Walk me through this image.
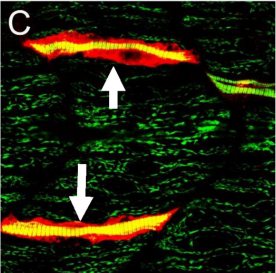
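Skeletal muscle in which two elongated myofibers are filled with red, with a yellow, finely striated band running through their centres. A dark oval gap within one red fibre may mark its nucleus. The surrounding muscle shows only faint, disordered green threads without red.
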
